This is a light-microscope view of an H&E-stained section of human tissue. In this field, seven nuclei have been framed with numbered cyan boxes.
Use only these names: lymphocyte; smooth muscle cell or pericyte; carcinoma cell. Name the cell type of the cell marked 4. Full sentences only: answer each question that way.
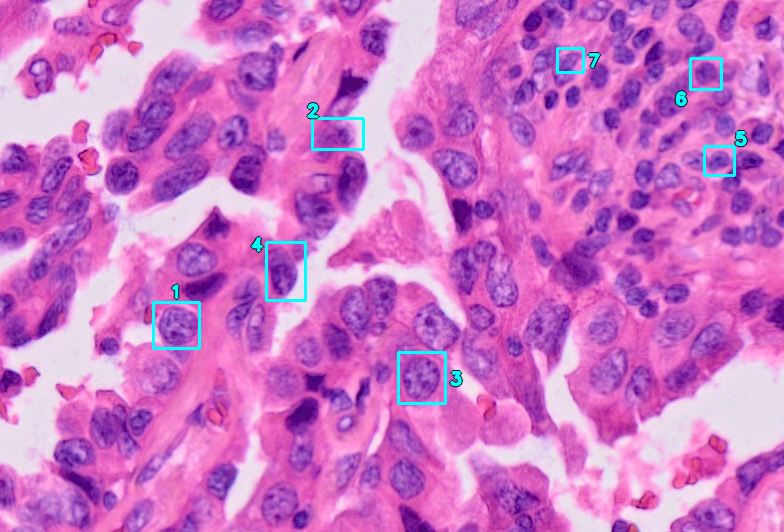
The marked cell bearing number 4 is a carcinoma cell.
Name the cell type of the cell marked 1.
Denoted by the label 1 in the section is a carcinoma cell.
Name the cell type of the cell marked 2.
The cell identified by number 2 is a carcinoma cell.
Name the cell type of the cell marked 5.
Cell 5 in the field is a lymphocyte.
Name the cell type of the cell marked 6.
The cell indicated with the number 6 is classed as a lymphocyte.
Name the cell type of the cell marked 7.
The cell given label 7 is a lymphocyte.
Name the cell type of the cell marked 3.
At number 3, the marked cell is a carcinoma cell.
